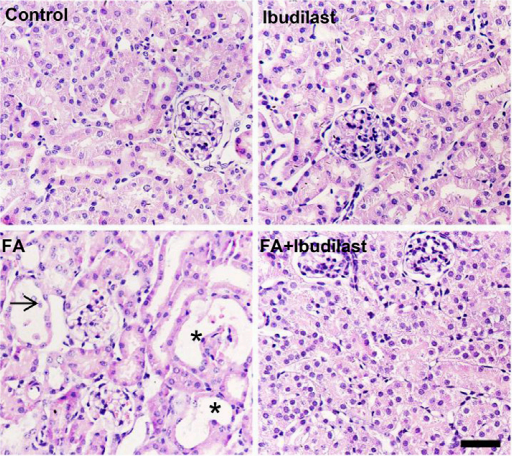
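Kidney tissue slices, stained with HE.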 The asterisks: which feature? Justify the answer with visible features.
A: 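The asterisks lie in wide, empty tubular lumens in the lower-left field. The epithelium lining these lumens is thin and flattened. On this evidence: dilated tubules.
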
